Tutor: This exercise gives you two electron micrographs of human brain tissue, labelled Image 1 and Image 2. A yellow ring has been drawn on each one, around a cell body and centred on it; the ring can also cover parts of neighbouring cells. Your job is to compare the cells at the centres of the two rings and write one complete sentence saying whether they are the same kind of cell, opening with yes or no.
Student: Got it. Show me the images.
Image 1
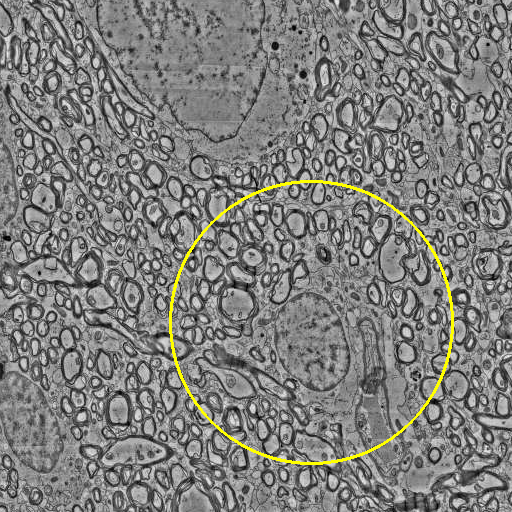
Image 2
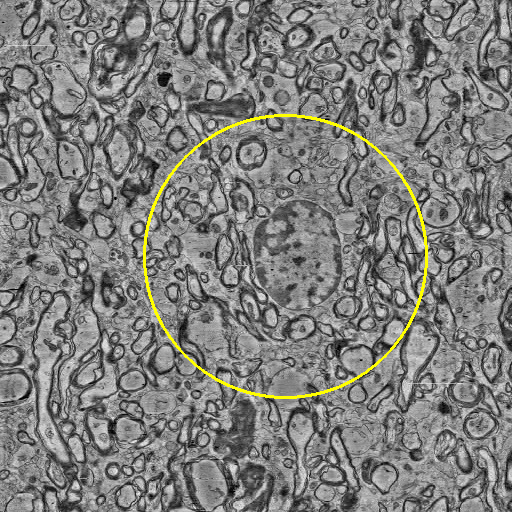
Yes, the two cells belong to the same kind.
